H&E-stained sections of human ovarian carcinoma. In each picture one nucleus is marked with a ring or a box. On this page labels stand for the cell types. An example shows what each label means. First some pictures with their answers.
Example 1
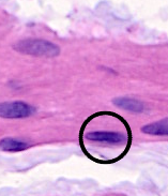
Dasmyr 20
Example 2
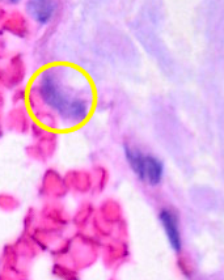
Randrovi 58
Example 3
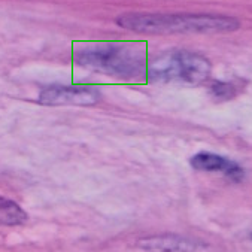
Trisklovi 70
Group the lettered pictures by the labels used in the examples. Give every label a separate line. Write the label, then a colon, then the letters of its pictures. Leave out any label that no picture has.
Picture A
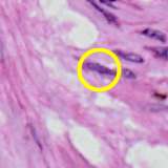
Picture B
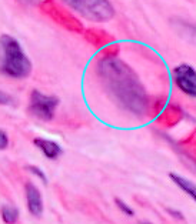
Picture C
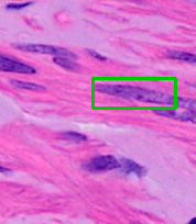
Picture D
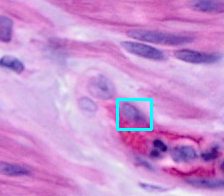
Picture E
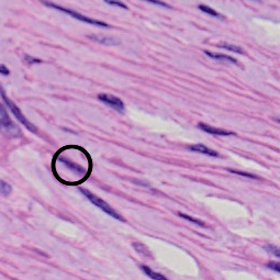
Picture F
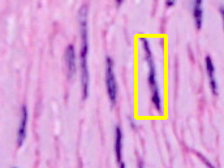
Dasmyr 20: C
Randrovi 58: B, D
Trisklovi 70: A, E, F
